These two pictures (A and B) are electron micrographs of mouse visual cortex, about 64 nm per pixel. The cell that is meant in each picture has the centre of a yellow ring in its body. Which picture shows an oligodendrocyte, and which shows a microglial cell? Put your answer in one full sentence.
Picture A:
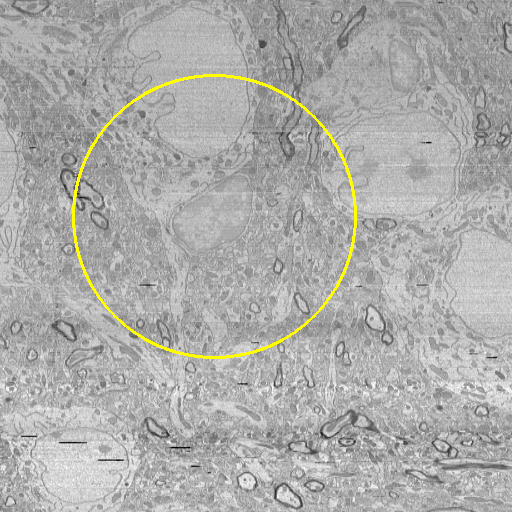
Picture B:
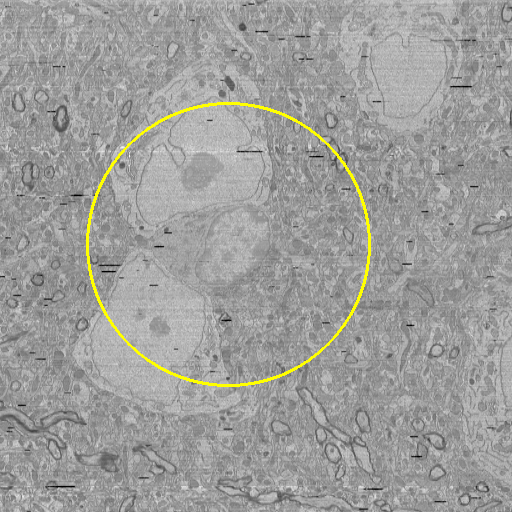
Picture B shows an oligodendrocyte, while picture A shows a microglial cell.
